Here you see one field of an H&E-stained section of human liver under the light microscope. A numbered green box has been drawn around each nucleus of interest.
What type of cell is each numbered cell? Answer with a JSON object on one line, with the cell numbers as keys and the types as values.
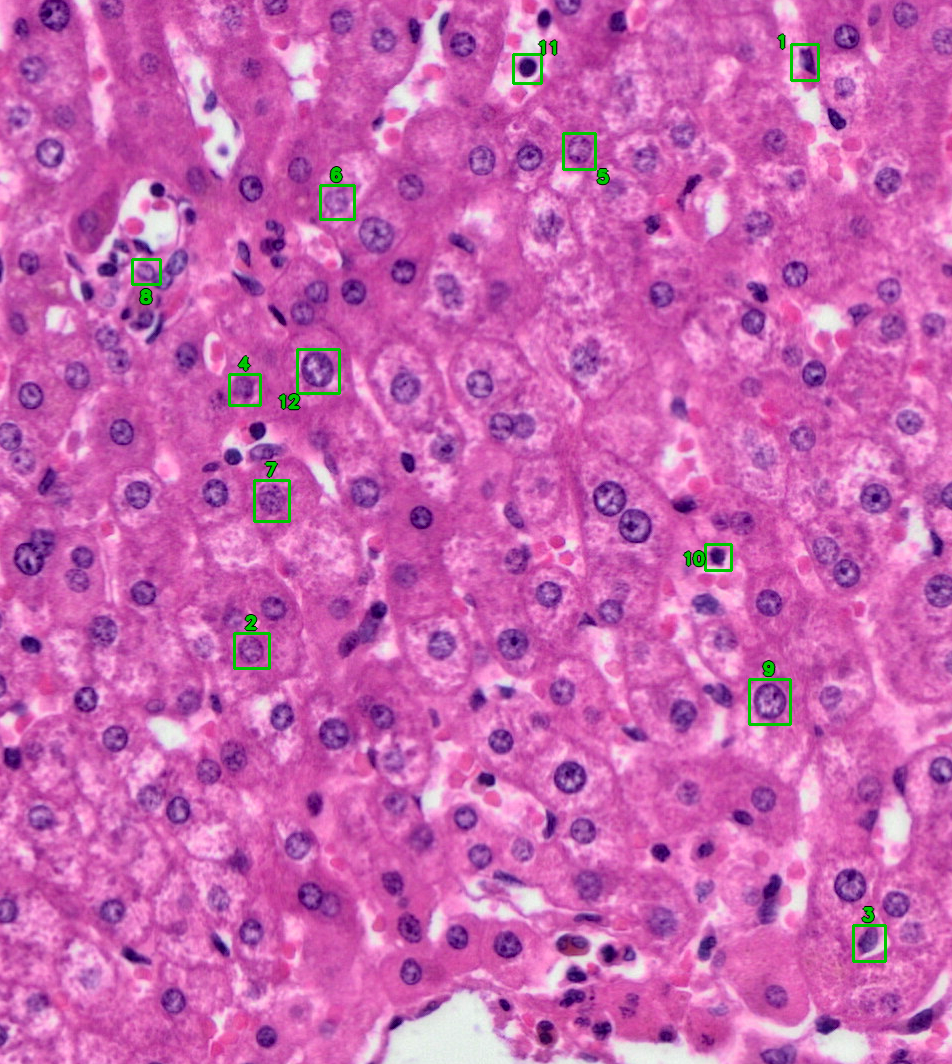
{"1": "endothelial cell", "2": "hepatocyte", "3": "Kupffer cell", "4": "hepatocyte", "5": "hepatocyte", "6": "hepatocyte", "7": "hepatocyte", "8": "cholangiocyte", "9": "hepatocyte", "10": "lymphocyte", "11": "lymphocyte", "12": "hepatocyte"}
